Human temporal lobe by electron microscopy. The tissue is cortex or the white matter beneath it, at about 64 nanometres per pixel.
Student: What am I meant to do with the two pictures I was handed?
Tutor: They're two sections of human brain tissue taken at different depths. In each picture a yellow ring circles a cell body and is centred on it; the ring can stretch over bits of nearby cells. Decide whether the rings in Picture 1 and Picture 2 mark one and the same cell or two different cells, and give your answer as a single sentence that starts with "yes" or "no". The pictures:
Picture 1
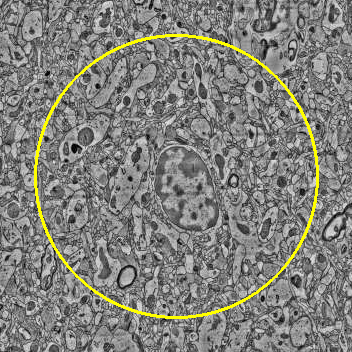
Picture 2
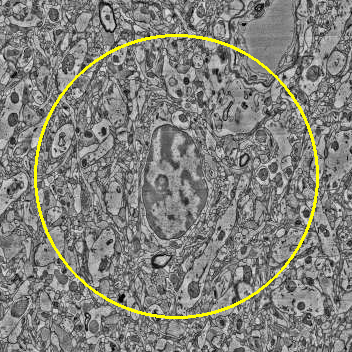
Yes, both yellow rings were placed on the same cell.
